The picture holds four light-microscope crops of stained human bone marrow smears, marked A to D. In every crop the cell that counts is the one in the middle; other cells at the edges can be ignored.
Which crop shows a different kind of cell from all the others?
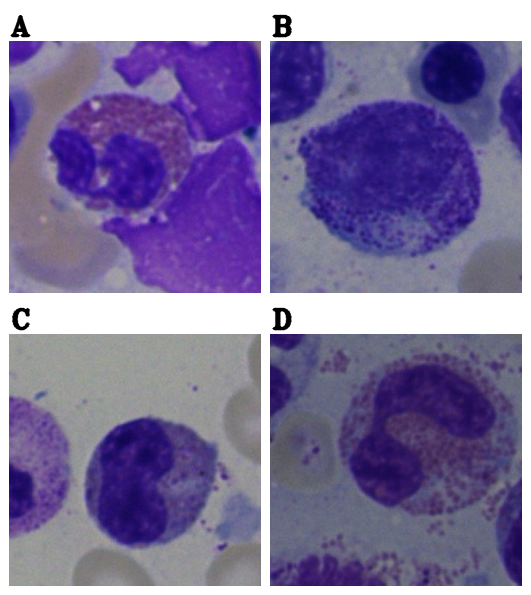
B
